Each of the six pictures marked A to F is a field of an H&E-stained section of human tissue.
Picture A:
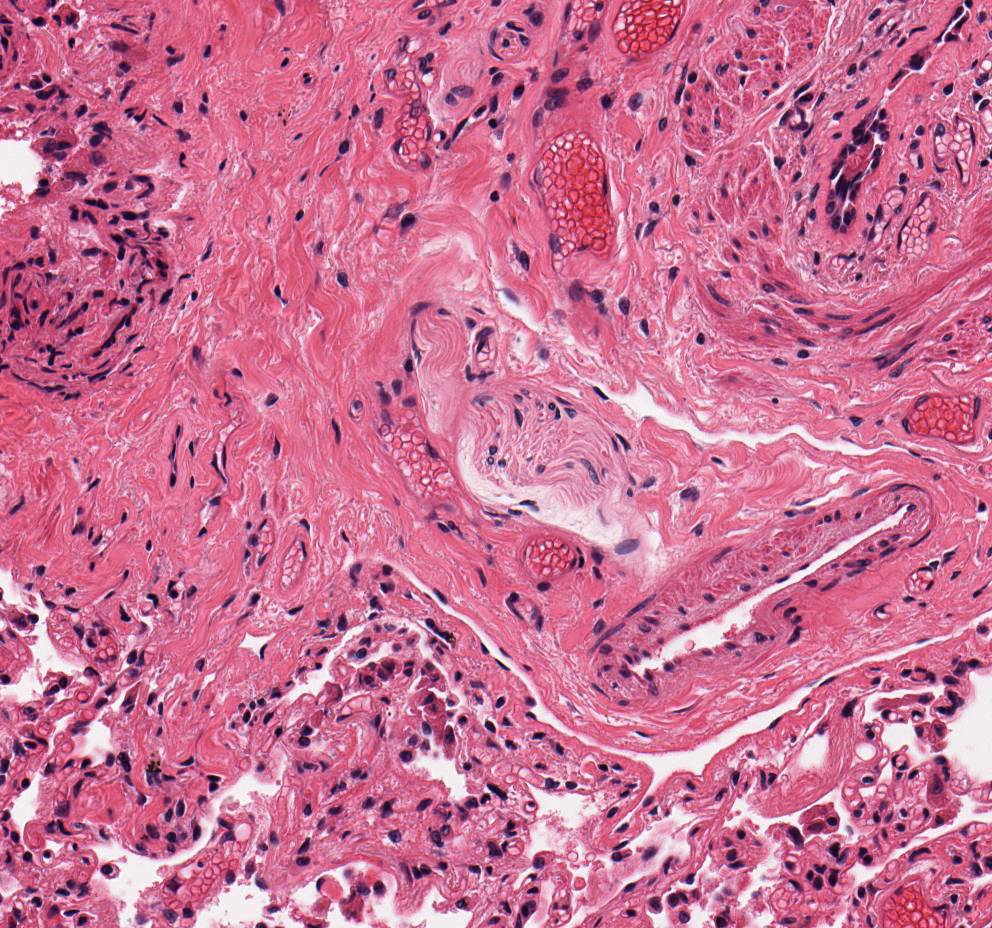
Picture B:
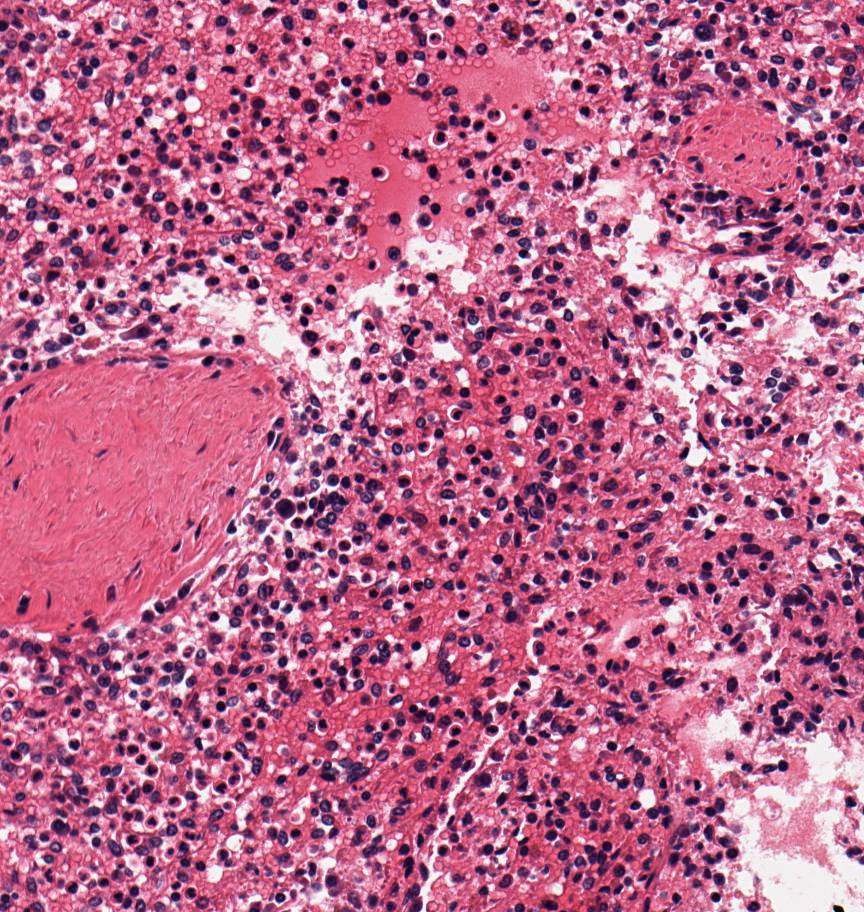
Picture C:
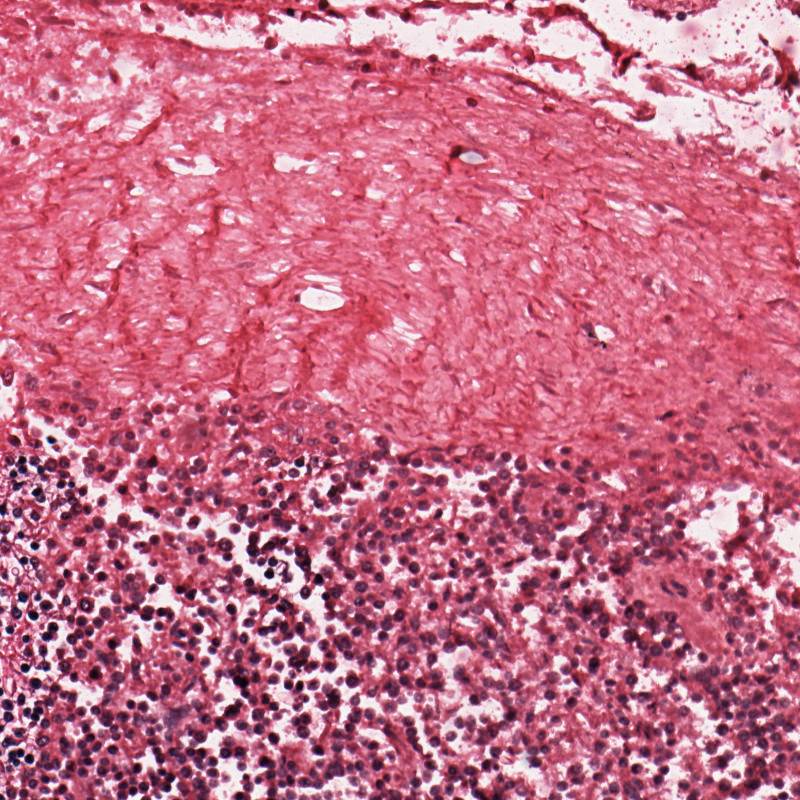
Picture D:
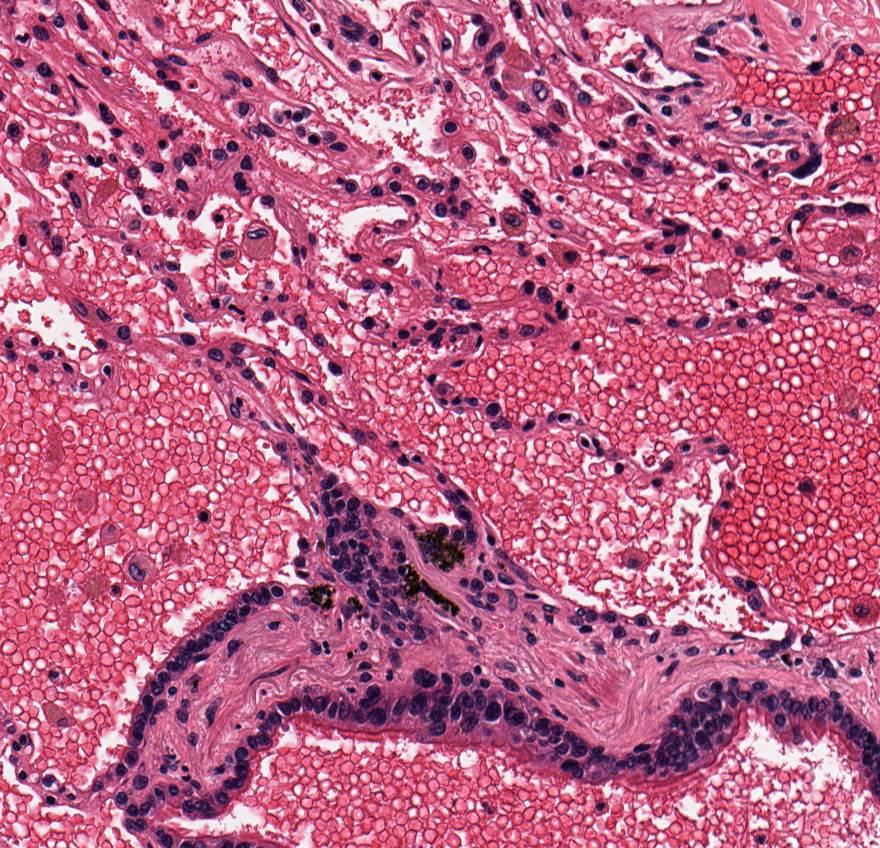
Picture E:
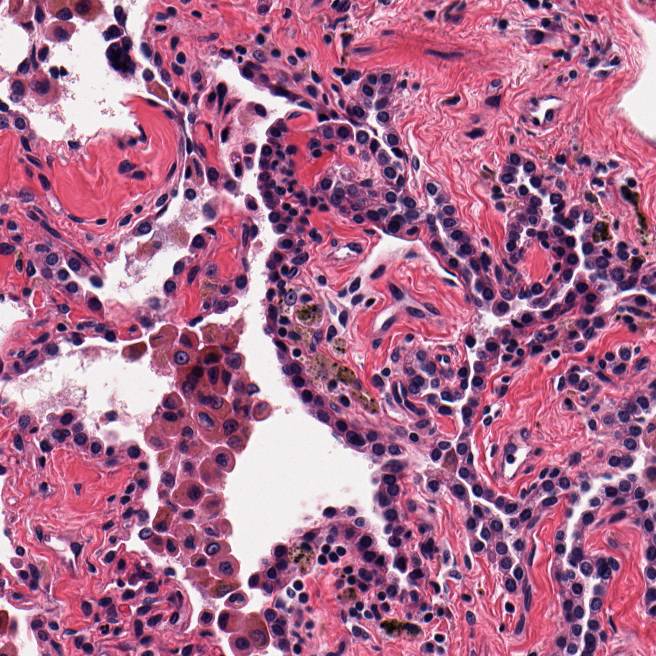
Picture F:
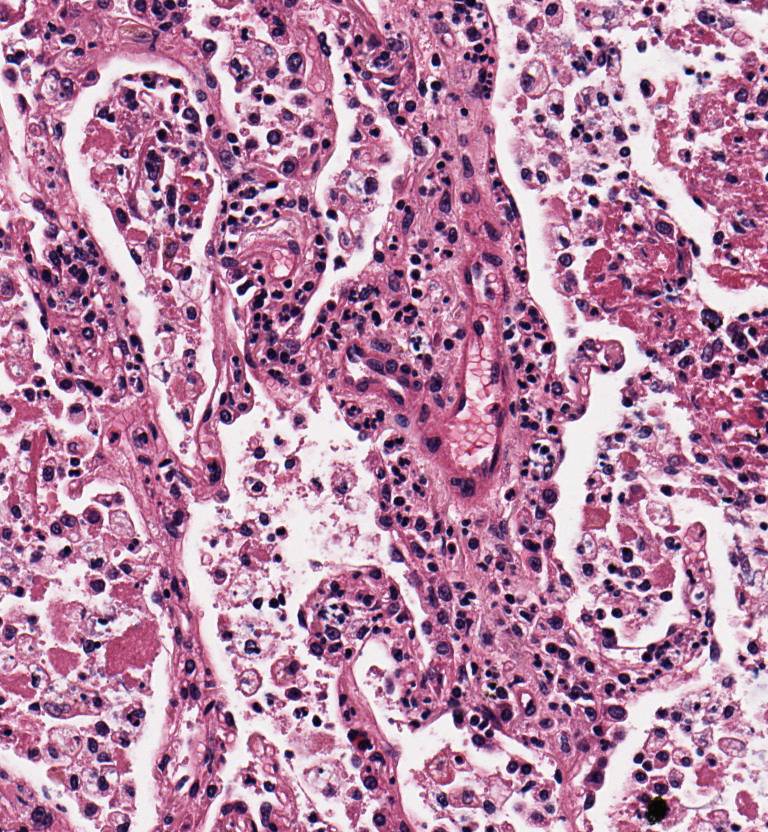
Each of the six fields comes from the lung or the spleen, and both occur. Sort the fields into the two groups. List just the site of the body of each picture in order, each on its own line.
lung
spleen
spleen
lung
lung
lung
